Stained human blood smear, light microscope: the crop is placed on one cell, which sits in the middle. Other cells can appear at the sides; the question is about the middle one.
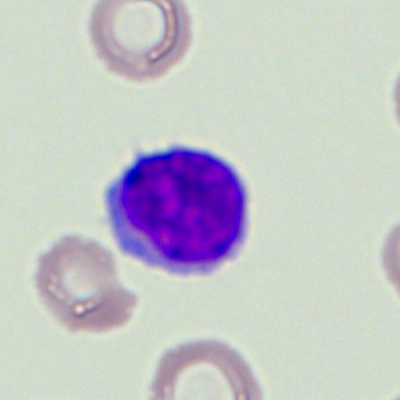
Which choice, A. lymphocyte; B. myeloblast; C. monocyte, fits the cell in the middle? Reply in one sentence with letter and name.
Option A is correct, naming the cell in the middle as a lymphocyte.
